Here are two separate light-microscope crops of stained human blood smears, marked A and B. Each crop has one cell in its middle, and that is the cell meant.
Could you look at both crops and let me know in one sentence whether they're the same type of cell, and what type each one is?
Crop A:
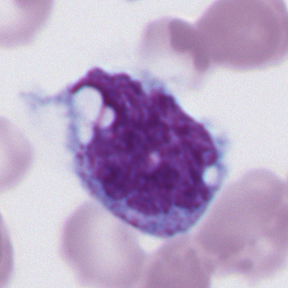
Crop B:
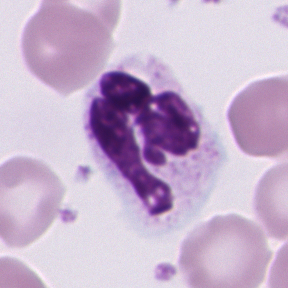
No, record crop A as a monocyte and crop B as a segmented neutrophil.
